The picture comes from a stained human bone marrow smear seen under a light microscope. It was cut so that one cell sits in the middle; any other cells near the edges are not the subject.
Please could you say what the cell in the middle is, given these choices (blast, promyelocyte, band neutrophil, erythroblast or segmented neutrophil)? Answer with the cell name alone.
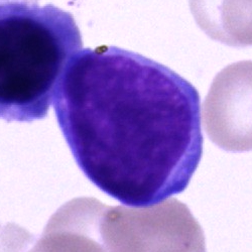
blast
